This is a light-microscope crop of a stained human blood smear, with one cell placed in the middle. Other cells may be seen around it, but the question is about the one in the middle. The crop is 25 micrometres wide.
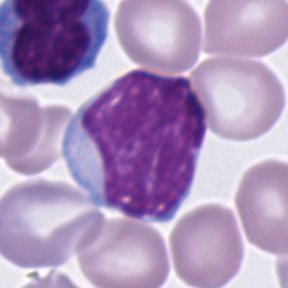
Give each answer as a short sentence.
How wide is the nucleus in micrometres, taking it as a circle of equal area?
It measures about 11 micrometres across.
